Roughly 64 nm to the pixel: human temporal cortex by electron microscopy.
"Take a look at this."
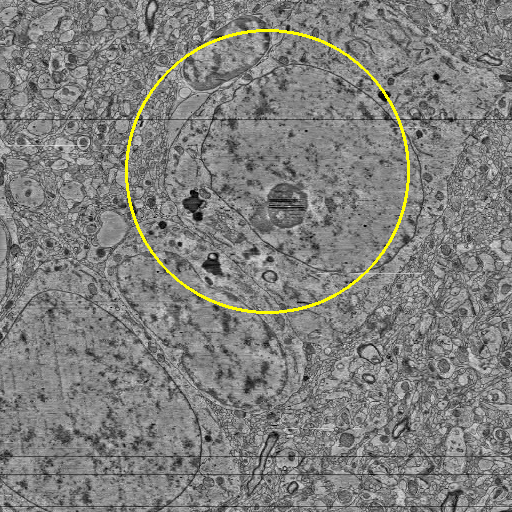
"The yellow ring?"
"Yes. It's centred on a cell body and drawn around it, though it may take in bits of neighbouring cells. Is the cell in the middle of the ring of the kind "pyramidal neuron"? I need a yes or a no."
Yes, it is of the kind asked about.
